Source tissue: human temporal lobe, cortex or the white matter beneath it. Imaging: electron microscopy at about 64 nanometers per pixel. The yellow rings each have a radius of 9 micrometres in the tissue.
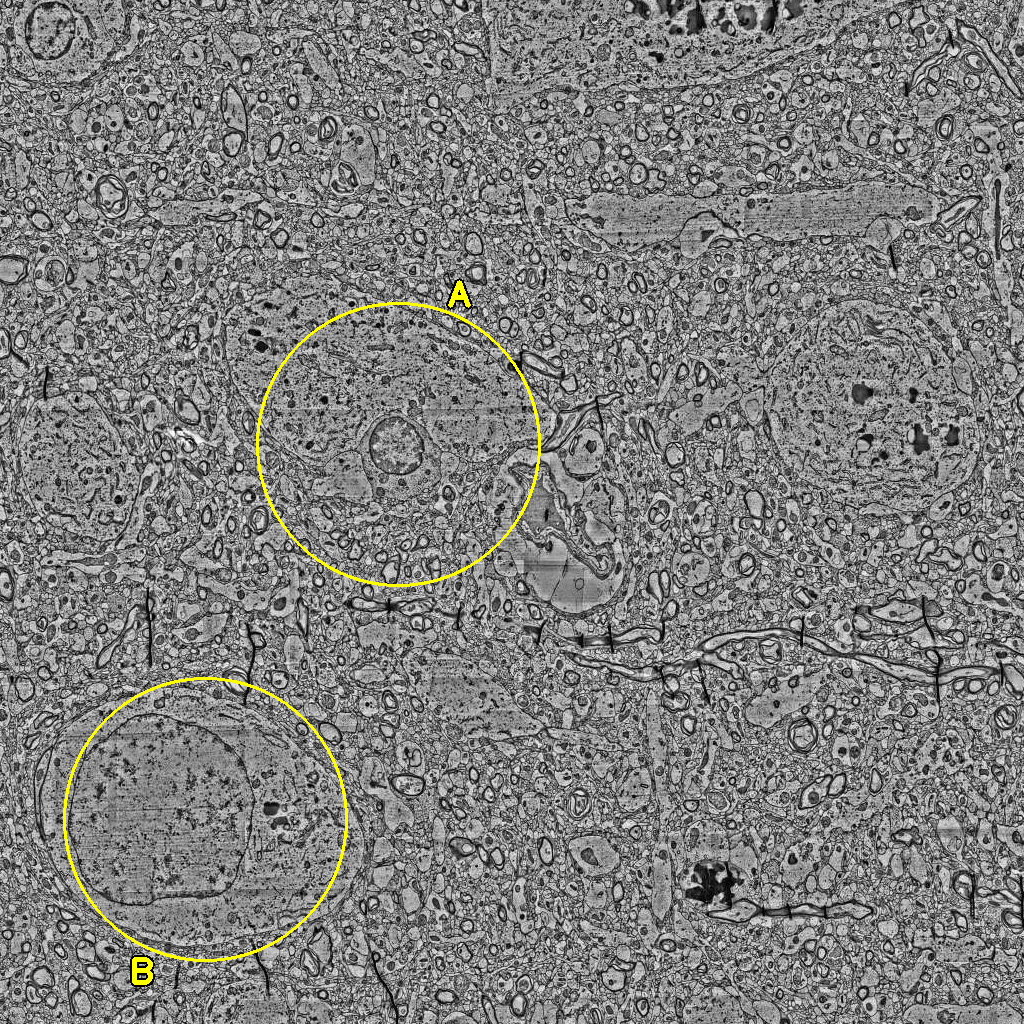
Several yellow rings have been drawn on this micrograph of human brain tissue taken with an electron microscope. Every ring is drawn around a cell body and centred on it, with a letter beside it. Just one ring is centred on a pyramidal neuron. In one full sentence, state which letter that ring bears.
At the centre of ring B is a cell of that kind.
